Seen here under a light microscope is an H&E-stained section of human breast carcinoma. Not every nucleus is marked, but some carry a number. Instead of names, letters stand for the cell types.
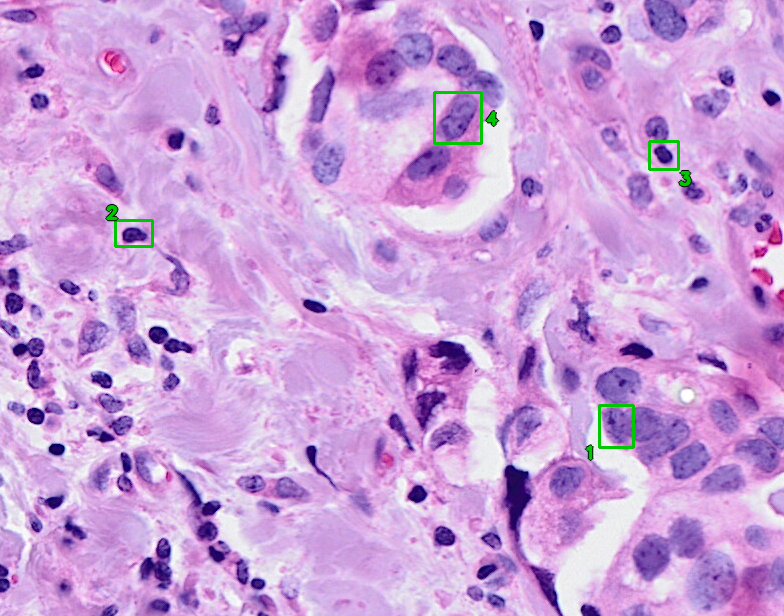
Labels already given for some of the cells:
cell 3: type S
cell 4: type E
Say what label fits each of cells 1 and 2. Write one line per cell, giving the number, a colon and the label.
1: type E
2: type S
